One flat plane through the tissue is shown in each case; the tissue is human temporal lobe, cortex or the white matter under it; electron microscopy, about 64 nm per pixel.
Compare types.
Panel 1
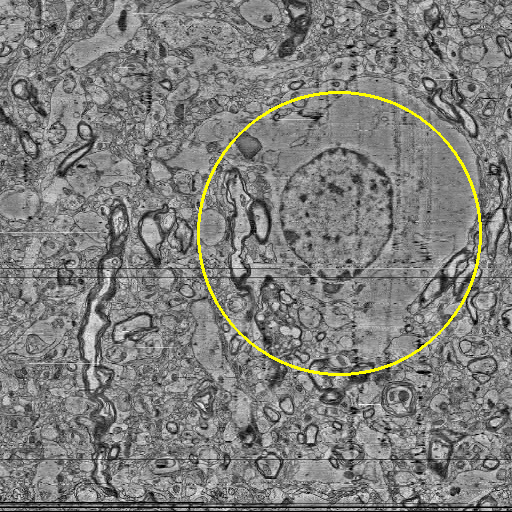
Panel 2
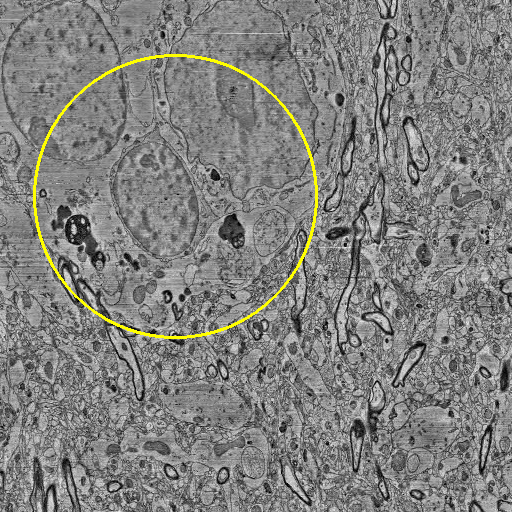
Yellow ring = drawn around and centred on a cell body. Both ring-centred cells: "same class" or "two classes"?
two classes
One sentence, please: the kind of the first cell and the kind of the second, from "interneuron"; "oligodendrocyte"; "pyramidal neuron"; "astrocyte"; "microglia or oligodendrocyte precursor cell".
The ring in the first picture surrounds an astrocyte, and the ring in the second surrounds an oligodendrocyte.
